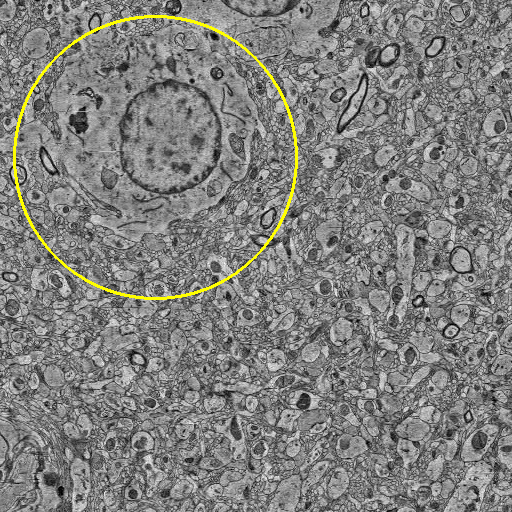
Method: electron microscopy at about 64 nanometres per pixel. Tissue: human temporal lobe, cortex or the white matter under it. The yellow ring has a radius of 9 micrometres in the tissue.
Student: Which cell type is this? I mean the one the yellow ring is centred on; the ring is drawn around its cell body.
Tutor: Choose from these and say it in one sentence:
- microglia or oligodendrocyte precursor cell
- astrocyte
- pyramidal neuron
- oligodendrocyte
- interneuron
The cell the ring is centred on is an astrocyte.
